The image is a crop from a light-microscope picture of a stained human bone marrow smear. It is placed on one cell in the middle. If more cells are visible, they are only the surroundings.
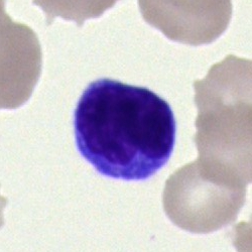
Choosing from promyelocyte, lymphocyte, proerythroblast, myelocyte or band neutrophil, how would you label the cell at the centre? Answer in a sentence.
The cell at the heart of this crop is a lymphocyte.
